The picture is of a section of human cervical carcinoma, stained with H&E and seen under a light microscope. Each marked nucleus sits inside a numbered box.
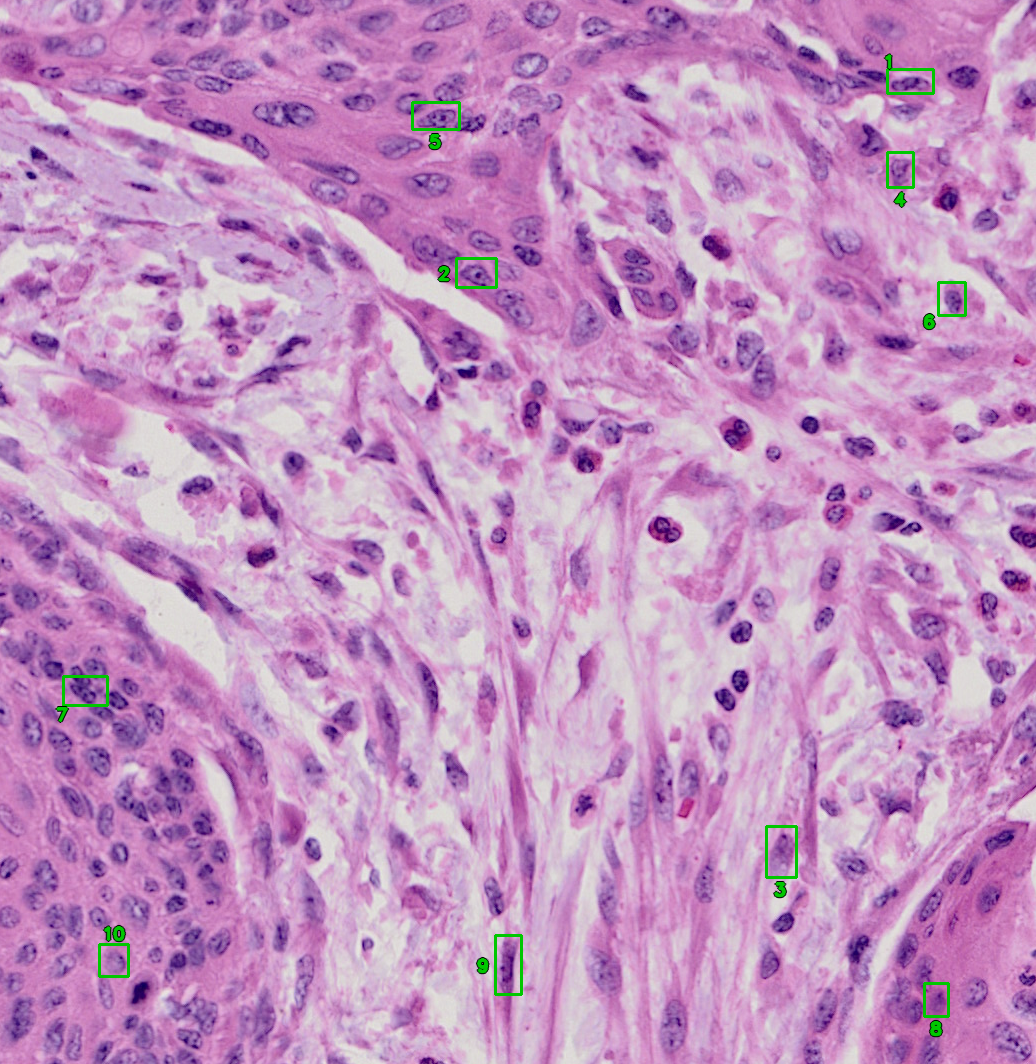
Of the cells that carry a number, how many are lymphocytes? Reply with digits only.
0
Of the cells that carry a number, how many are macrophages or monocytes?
2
